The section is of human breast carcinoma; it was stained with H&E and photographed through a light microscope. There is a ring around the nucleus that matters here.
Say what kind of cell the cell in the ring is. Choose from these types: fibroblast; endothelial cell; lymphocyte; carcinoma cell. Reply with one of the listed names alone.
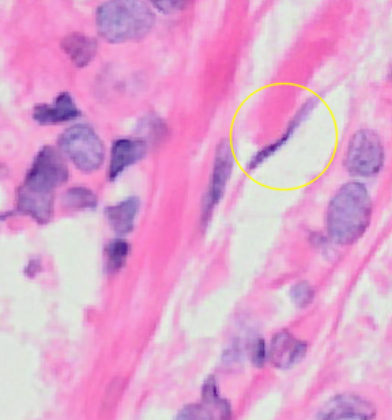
fibroblast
